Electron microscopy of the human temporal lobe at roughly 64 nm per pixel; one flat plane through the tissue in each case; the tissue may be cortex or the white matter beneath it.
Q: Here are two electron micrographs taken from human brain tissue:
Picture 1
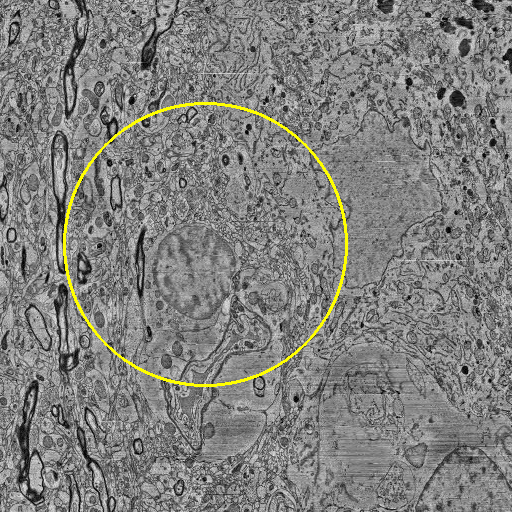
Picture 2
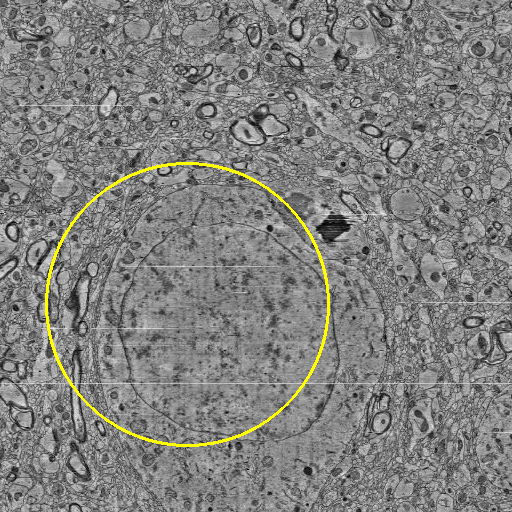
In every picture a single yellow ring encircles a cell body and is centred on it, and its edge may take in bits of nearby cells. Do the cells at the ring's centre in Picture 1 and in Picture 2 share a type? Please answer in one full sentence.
No, the cells at the ring's centre in Picture 1 and Picture 2 are of two types.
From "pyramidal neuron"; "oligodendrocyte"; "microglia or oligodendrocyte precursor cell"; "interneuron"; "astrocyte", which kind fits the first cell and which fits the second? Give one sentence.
The cell marked in the first picture is an oligodendrocyte, and the one marked in the second is a pyramidal neuron.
